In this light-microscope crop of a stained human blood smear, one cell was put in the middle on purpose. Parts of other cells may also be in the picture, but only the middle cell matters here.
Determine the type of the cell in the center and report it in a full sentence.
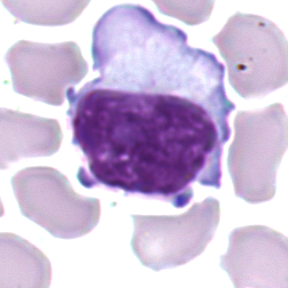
The cell nearest the centre of this crop is a plasma cell.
